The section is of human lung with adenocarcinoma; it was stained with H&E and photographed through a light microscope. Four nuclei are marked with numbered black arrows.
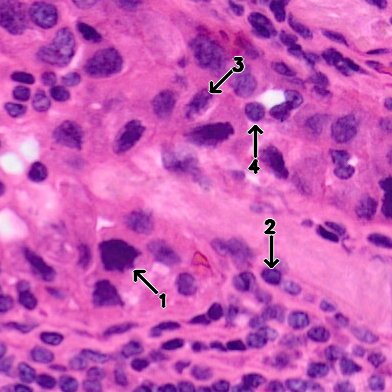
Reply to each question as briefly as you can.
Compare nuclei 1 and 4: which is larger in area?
1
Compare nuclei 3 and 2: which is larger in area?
3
